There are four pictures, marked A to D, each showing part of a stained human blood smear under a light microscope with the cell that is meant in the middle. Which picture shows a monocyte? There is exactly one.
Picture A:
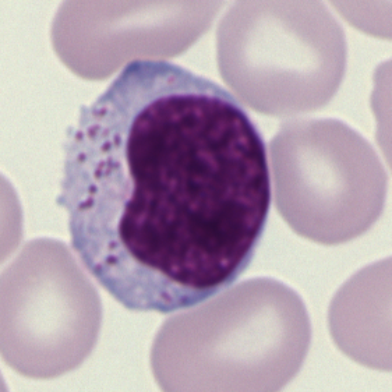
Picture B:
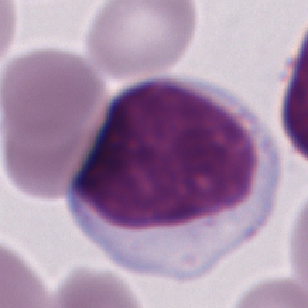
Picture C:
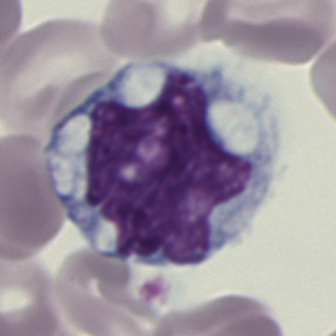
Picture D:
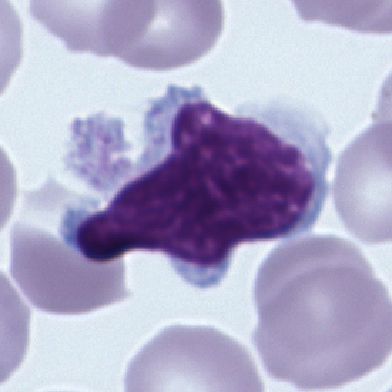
C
